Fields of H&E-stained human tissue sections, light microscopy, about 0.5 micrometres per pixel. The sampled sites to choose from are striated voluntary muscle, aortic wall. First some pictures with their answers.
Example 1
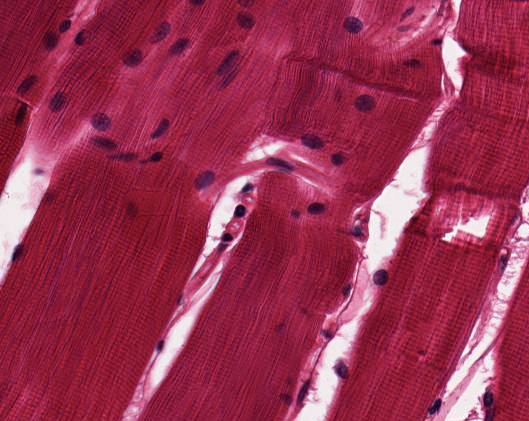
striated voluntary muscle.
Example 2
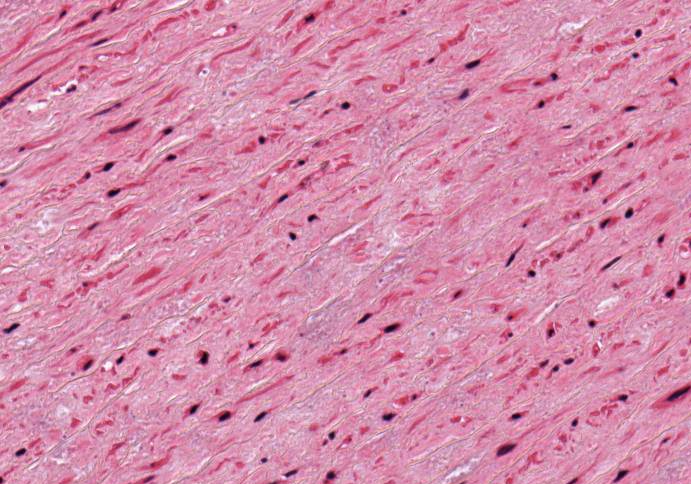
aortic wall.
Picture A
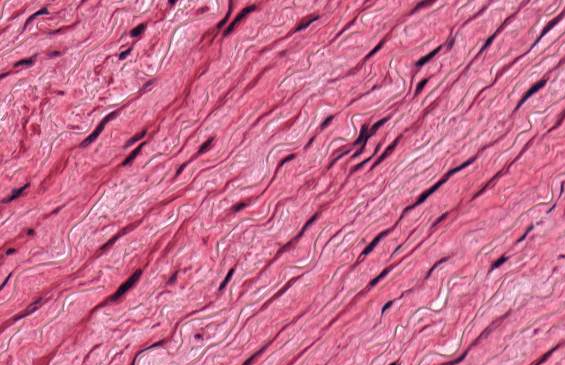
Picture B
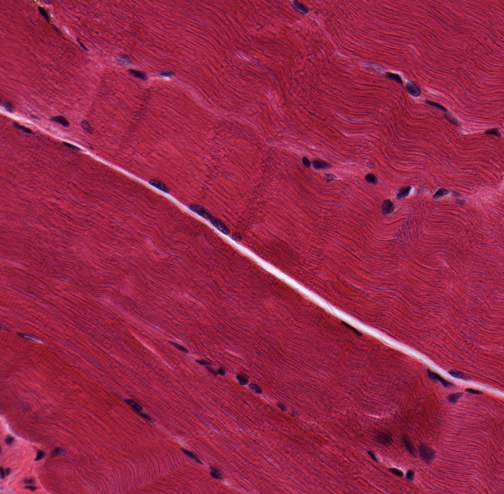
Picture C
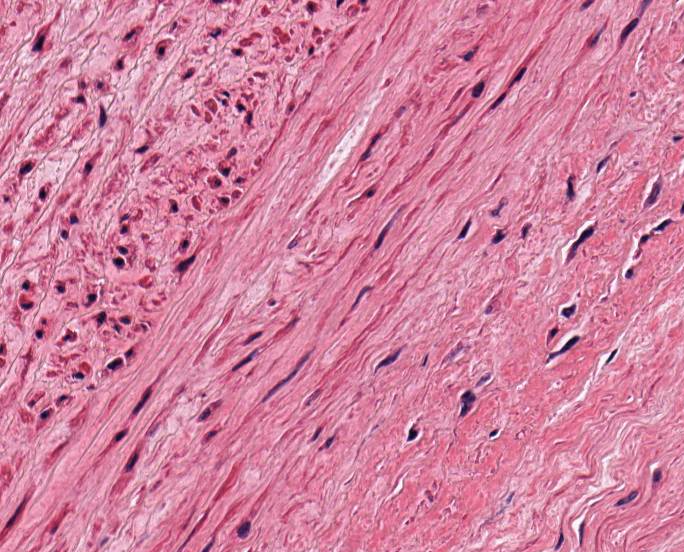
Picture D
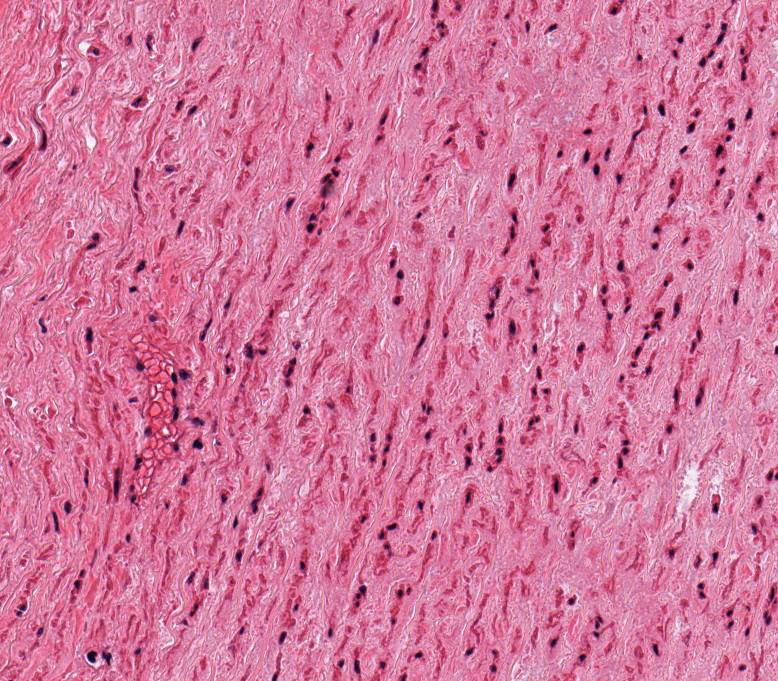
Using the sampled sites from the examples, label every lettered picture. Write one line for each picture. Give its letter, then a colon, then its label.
A: aortic wall.
B: striated voluntary muscle.
C: aortic wall.
D: aortic wall.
